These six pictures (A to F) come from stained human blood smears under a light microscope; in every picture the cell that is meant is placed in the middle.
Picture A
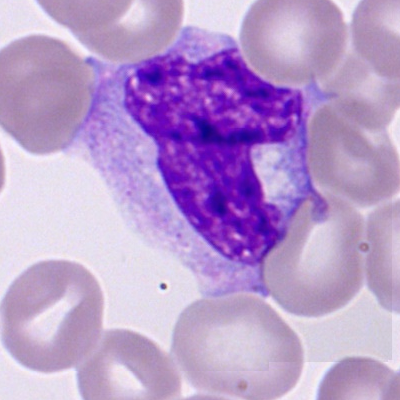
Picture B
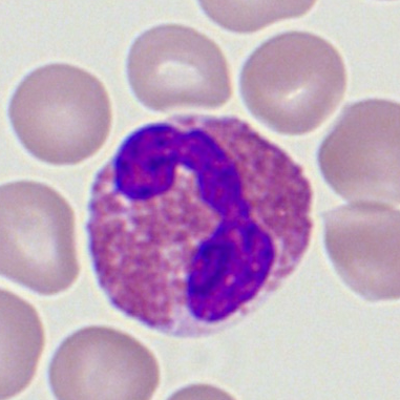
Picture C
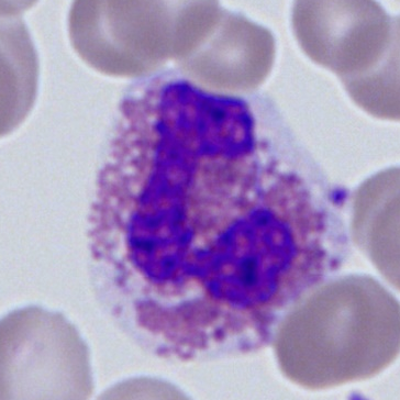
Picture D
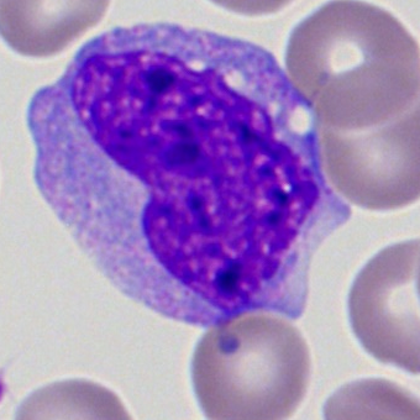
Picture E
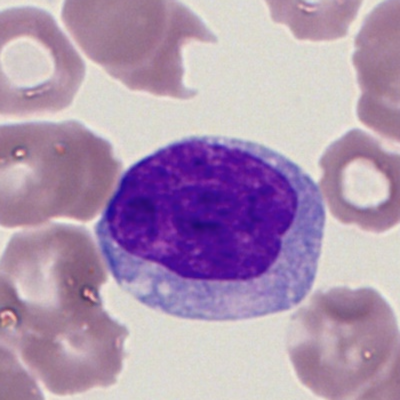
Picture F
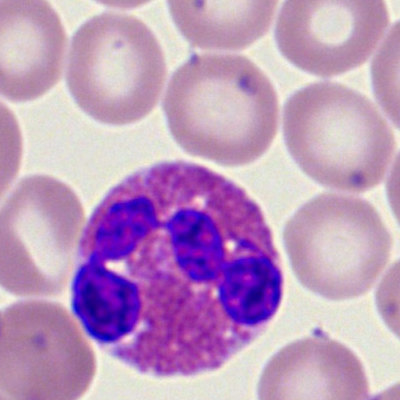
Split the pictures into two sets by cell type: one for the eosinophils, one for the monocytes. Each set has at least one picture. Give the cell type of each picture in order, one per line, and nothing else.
monocyte
eosinophil
eosinophil
monocyte
monocyte
eosinophil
